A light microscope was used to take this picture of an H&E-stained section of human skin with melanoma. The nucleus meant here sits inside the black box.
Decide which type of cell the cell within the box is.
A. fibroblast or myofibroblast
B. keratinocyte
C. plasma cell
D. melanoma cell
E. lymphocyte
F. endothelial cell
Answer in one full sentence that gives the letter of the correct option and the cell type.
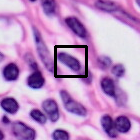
Since the cell within the box is a lymphocyte, the right option is E.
